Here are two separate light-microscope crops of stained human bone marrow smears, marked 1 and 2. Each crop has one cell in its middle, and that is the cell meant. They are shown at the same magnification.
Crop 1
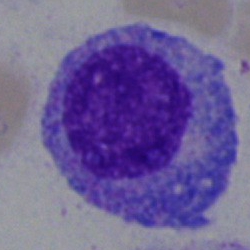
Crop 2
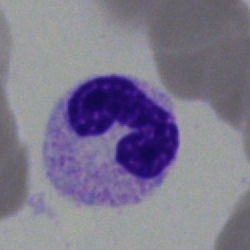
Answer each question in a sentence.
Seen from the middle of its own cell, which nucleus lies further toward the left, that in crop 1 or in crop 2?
It is the nucleus in crop 1 that lies further toward the left of its cell.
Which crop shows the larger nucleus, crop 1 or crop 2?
It is the nucleus in crop 1, about 2 times as large in area as the one in crop 2.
